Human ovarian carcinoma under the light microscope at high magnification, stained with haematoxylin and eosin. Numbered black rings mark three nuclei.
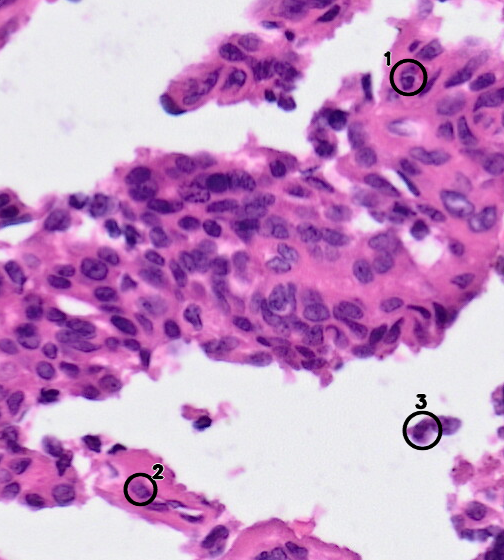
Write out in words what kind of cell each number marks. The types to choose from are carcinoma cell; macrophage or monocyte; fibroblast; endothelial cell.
Cells 1 and 2 are endothelial cells. Cell 3 is a carcinoma cell.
